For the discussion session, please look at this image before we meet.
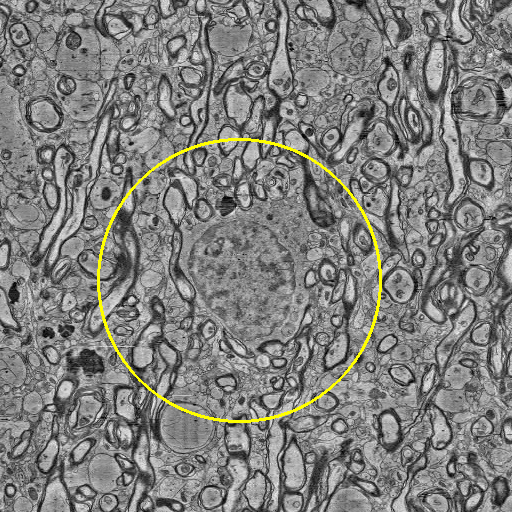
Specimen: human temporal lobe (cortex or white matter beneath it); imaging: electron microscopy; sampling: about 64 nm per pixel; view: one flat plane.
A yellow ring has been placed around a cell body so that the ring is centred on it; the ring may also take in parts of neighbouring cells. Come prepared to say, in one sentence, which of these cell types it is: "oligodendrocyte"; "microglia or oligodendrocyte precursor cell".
The cell centred in the ring is an oligodendrocyte.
